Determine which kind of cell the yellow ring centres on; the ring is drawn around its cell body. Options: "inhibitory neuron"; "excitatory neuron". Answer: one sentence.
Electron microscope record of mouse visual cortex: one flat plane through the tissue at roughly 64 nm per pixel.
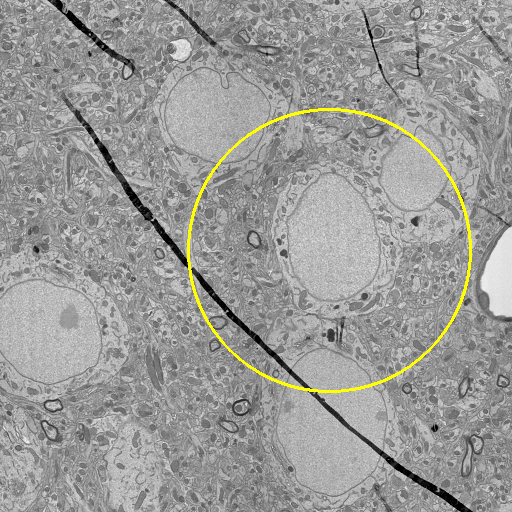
The ring centres on an inhibitory neuron.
